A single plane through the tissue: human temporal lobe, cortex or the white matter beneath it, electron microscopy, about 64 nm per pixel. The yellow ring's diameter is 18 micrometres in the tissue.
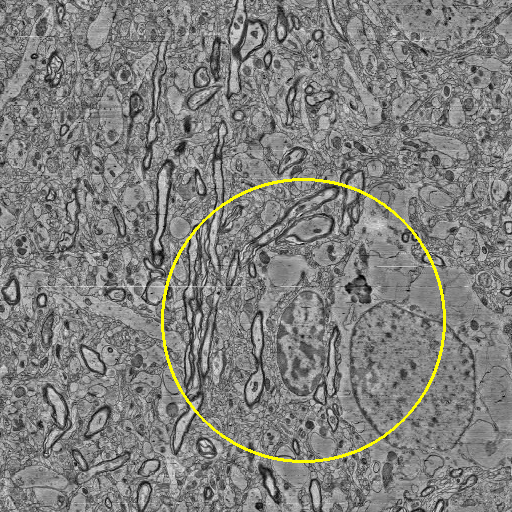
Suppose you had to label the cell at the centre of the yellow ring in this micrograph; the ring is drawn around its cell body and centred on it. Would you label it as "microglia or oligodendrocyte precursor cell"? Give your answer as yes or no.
Yes, I would label it that way.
